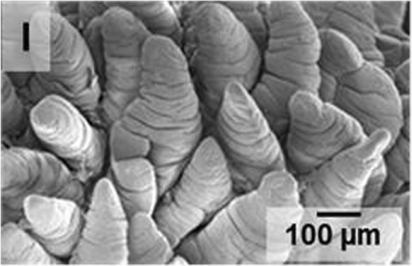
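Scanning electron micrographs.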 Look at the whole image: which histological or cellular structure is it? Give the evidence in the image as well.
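Villi. Many elongated, tongue-shaped projections stand closely side by side. The projections taper to rounded or pointed tips. Their surfaces carry transverse furrows.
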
